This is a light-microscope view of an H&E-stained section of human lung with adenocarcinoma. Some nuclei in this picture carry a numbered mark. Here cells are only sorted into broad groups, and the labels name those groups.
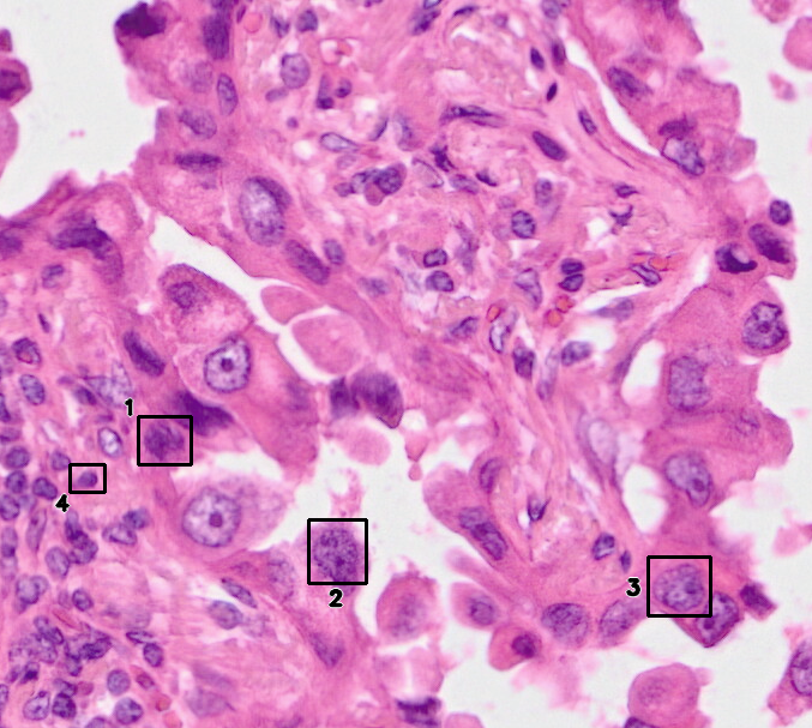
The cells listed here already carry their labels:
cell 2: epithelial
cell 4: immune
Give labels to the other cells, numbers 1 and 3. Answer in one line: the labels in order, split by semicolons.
epithelial; epithelial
